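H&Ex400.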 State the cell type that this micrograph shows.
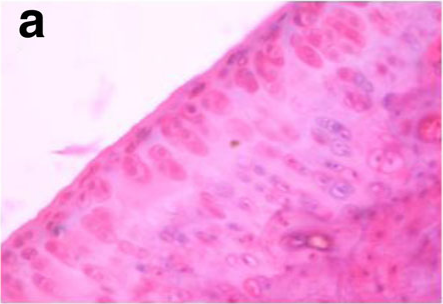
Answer: chondrocytes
